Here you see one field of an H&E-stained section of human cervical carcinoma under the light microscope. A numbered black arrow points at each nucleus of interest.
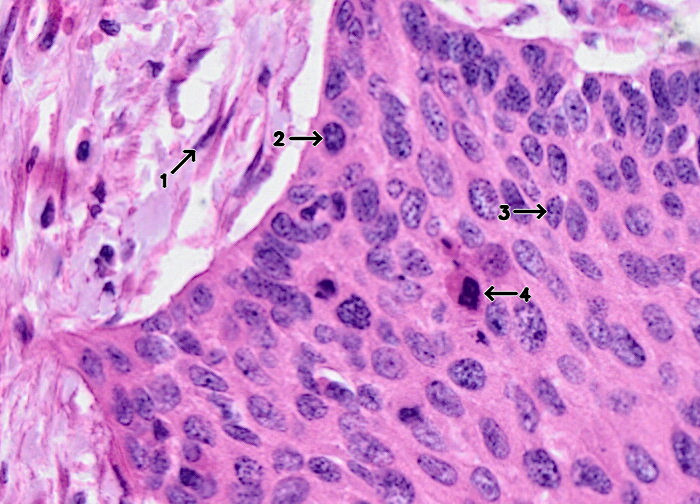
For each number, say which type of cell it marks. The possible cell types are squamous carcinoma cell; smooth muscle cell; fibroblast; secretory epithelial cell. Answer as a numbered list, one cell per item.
1. fibroblast
2. squamous carcinoma cell
3. squamous carcinoma cell
4. squamous carcinoma cell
